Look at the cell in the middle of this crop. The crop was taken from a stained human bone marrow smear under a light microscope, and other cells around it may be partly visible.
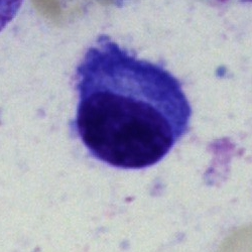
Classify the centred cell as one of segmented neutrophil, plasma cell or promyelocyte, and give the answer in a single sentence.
The cell at the middle of the frame should be recorded as a plasma cell.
